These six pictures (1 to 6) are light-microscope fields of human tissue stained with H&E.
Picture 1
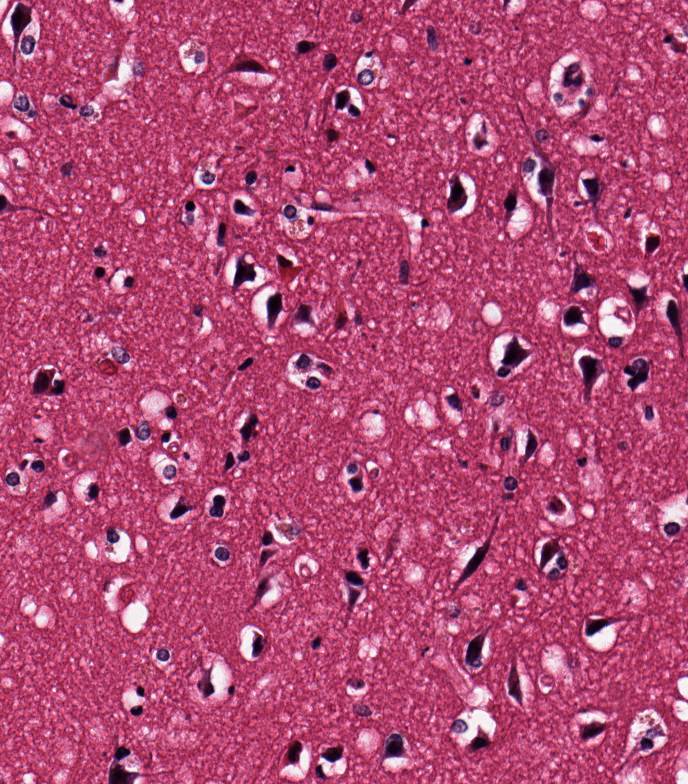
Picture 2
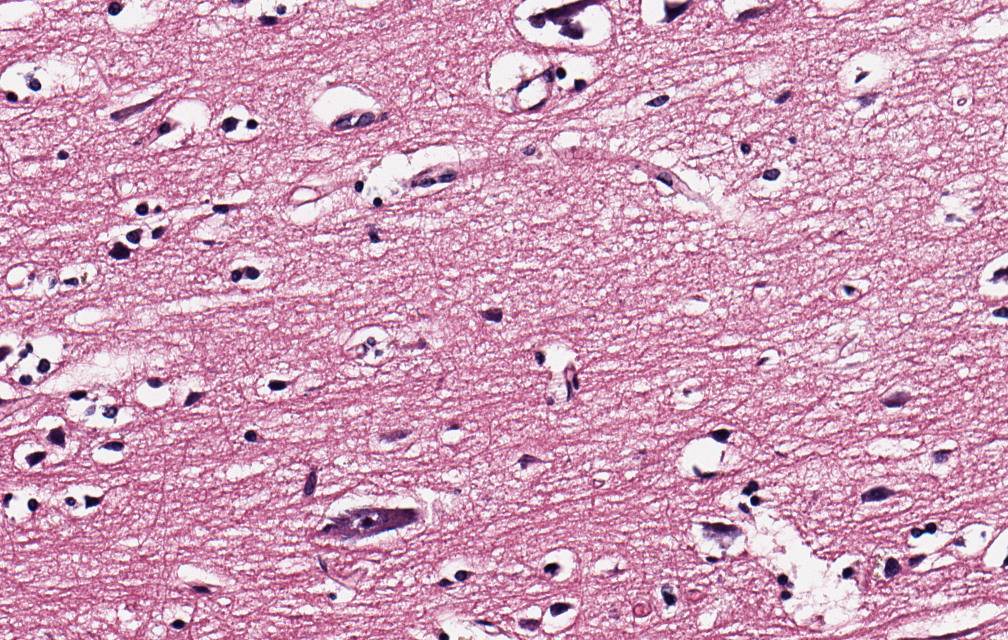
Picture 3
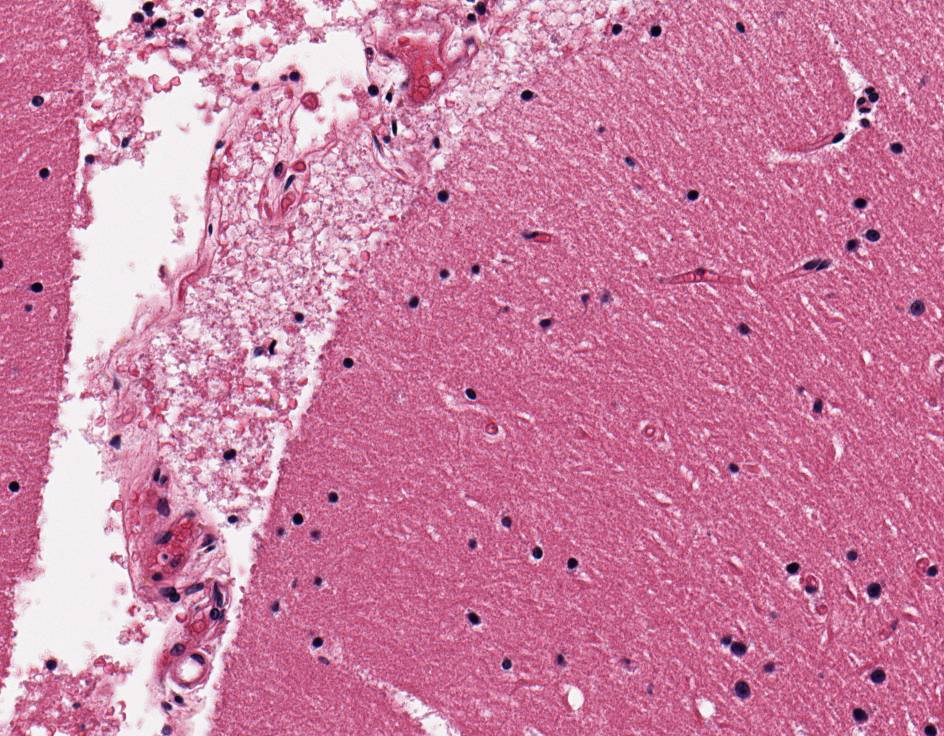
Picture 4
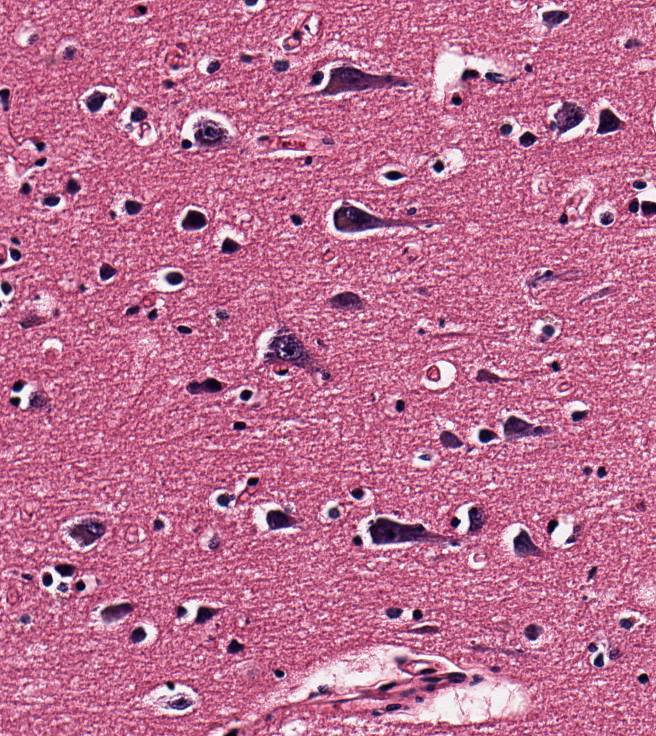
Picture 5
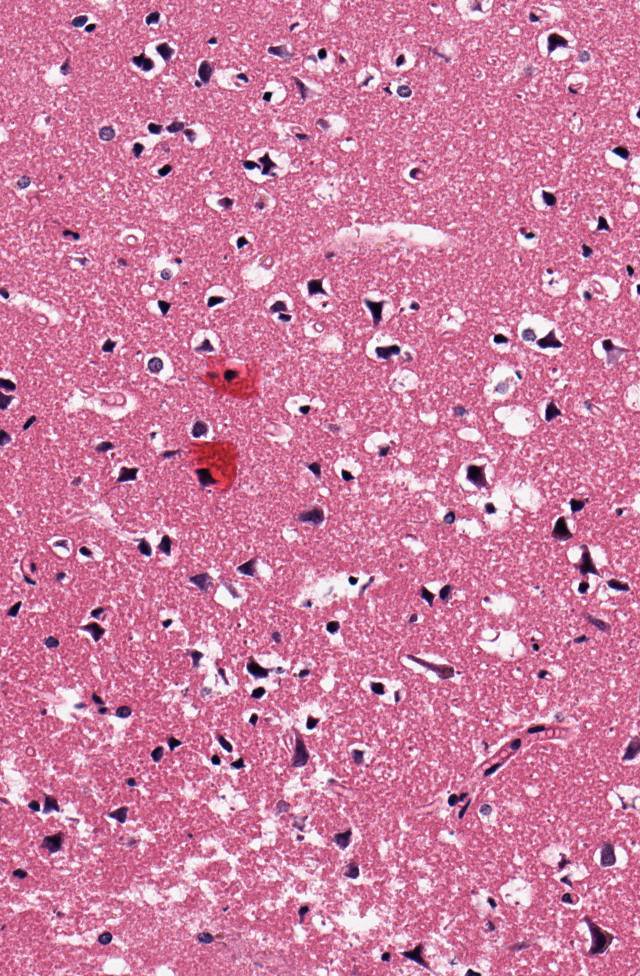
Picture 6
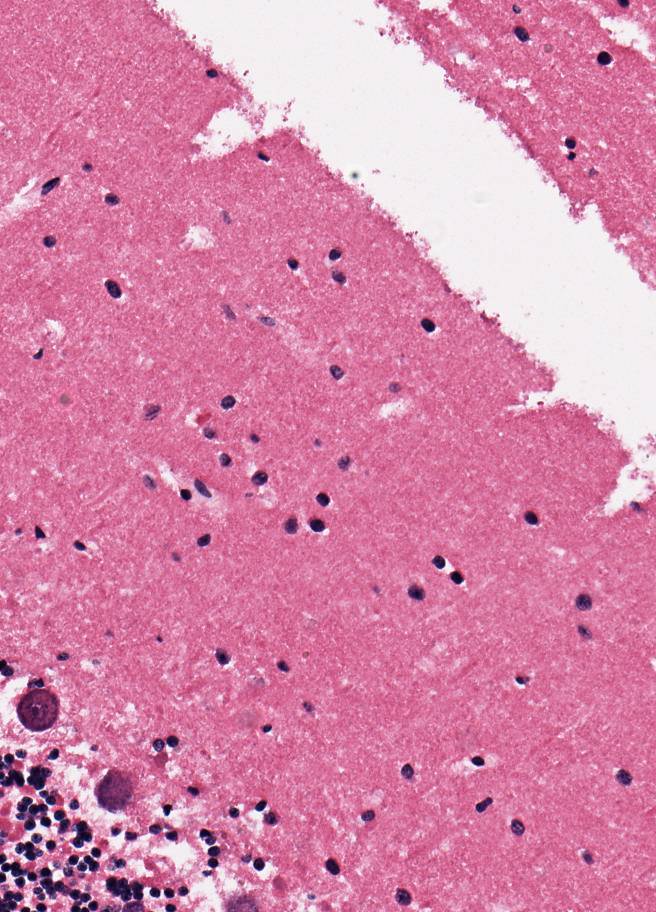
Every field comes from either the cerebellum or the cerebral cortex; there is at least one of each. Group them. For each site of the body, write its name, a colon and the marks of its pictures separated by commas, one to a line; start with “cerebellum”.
cerebellum: 3, 6
cerebral cortex: 1, 2, 4, 5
